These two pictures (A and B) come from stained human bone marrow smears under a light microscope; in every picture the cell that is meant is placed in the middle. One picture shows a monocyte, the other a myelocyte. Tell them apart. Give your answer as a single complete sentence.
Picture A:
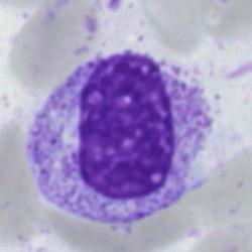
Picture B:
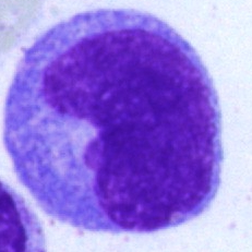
It is picture A that shows a myelocyte, and picture B that shows a monocyte.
